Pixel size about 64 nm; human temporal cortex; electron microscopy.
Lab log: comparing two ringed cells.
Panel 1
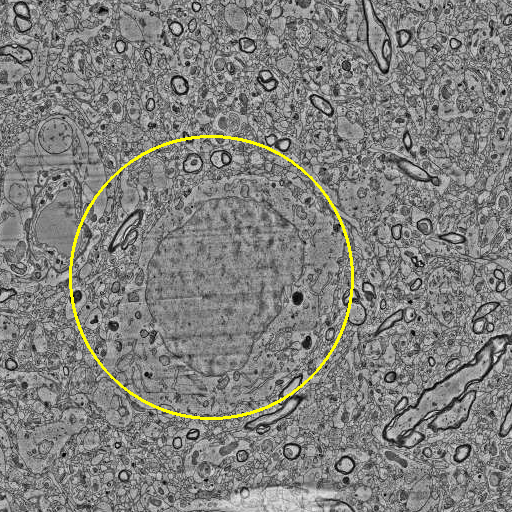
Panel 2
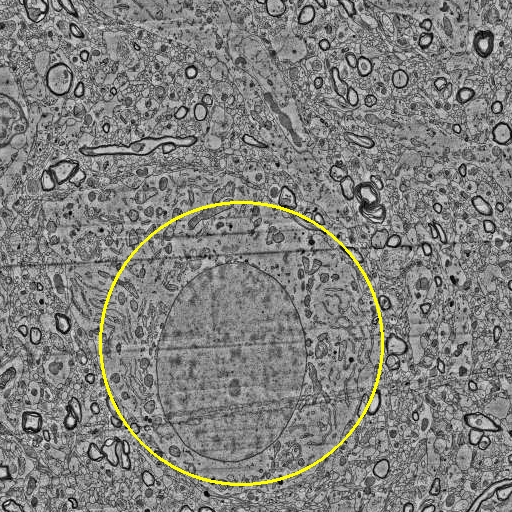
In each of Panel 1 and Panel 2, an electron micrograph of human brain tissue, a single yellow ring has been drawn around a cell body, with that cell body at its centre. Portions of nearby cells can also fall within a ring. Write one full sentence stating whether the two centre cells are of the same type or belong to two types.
The cells at the ring centres in Panel 1 and Panel 2 are of the same type.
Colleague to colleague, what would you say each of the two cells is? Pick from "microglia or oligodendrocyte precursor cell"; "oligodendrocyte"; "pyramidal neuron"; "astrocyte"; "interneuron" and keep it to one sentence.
Each of the ringed cells, first and second, is an interneuron.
